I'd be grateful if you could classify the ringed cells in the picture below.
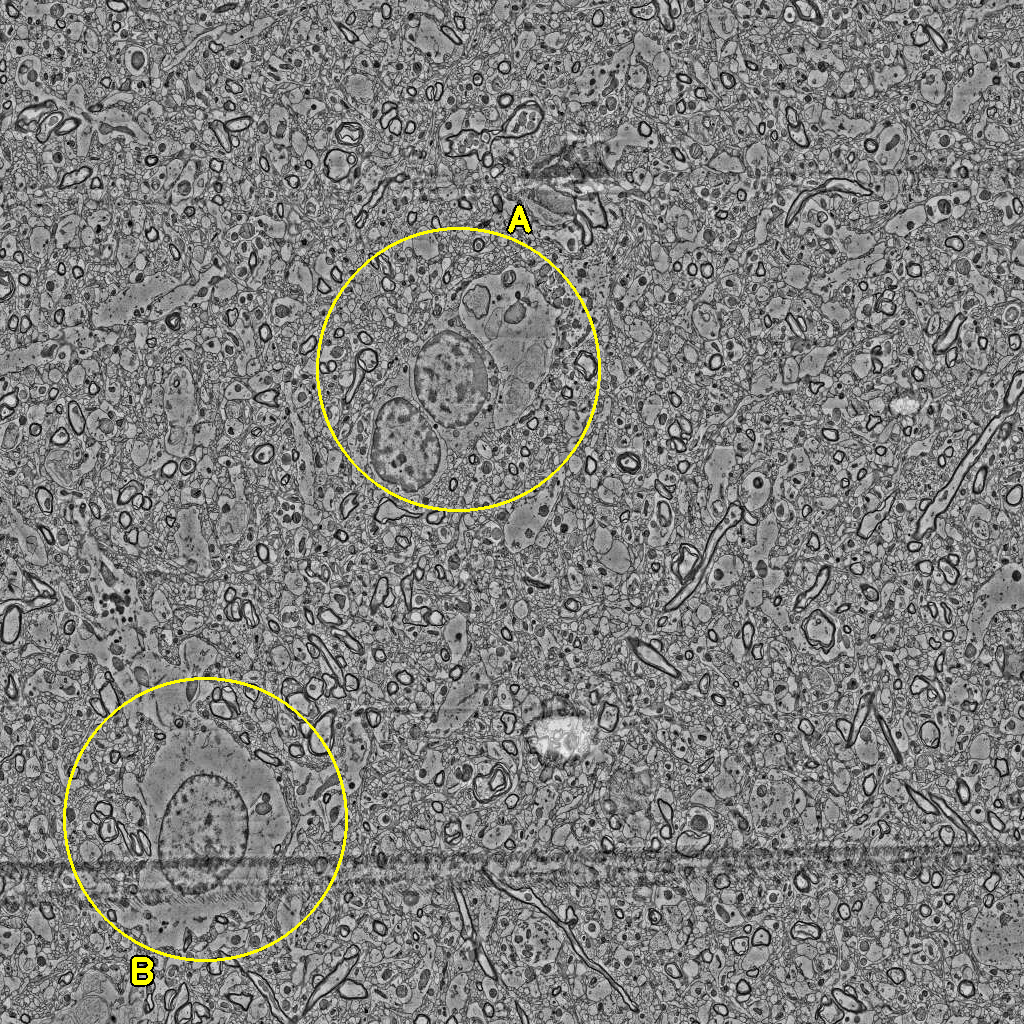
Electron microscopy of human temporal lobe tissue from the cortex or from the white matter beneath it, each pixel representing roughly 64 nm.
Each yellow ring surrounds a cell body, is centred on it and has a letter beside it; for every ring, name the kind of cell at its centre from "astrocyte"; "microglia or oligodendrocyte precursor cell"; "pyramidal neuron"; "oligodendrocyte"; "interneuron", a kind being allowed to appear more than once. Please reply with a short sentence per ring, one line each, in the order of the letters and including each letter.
In ring A we have an oligodendrocyte.
In ring B we have an astrocyte.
